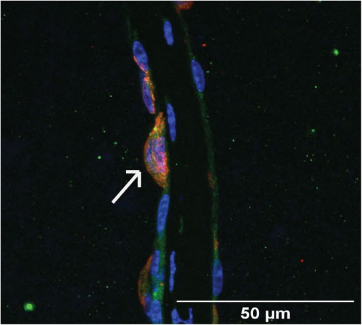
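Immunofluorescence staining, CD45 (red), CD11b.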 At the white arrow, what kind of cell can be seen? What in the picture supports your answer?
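Immune cells. The arrowed cell is plump and oval, bulging from a thin membrane. Its cytoplasm is stained red and green around an oval nucleus. Neighbouring nuclei along the membrane are flat and elongated.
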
